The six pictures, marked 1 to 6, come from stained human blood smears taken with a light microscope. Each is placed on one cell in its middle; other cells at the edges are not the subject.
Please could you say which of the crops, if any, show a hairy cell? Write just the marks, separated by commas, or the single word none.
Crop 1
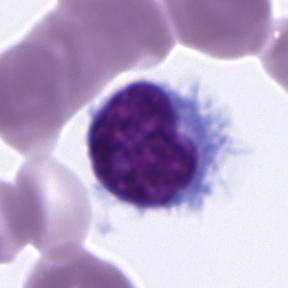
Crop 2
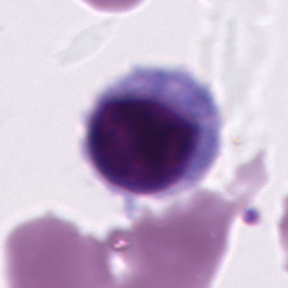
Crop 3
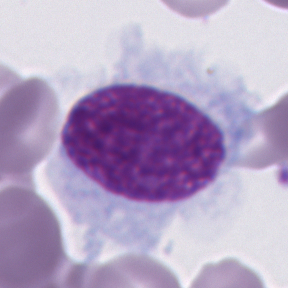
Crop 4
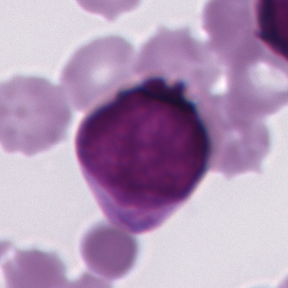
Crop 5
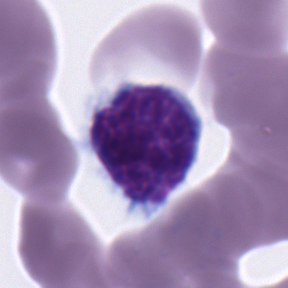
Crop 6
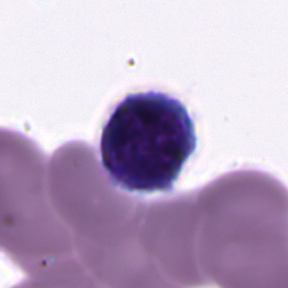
1, 2, 3, 5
